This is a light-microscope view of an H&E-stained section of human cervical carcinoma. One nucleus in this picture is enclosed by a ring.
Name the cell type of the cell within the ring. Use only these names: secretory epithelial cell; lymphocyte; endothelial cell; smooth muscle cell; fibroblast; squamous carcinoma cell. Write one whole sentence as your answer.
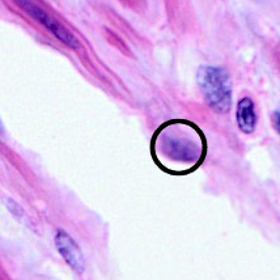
Speaking plainly, the cell within the ring is nothing other than an endothelial cell.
